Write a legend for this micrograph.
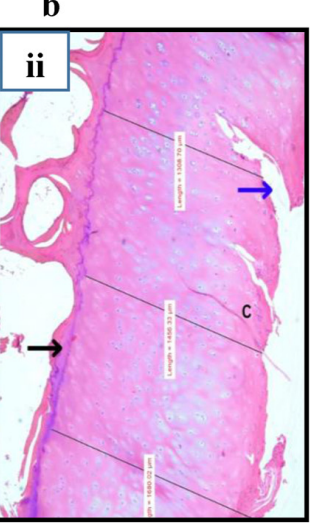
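A section of articular cartilage shows pink-staining matrix with many small chondrocytes in lacunae. The free surface at the right is split by clefts that run inward from it, leaving detached strips of matrix. At the deep, left side, a dark purple line marks the border of the cartilage, with pink bone trabeculae and open spaces beyond it. Chondrocytes are scattered, some lying close together in small groups.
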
